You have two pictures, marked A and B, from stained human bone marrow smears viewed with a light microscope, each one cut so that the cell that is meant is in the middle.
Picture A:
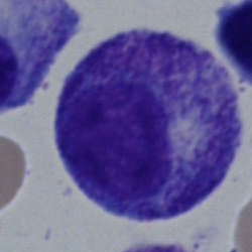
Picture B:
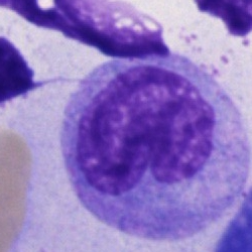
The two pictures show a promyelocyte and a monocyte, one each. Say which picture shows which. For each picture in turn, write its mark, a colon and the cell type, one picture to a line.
A: promyelocyte
B: monocyte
